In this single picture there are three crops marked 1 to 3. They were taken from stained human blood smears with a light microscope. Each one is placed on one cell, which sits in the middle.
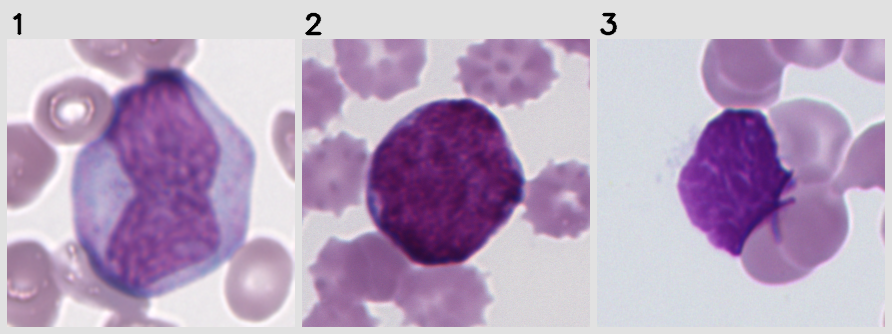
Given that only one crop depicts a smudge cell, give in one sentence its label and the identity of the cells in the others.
Crop 3 is classified as a smudge cell, whereas crop 1 is an atypical promyelocyte and crop 2 is a myeloblast.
